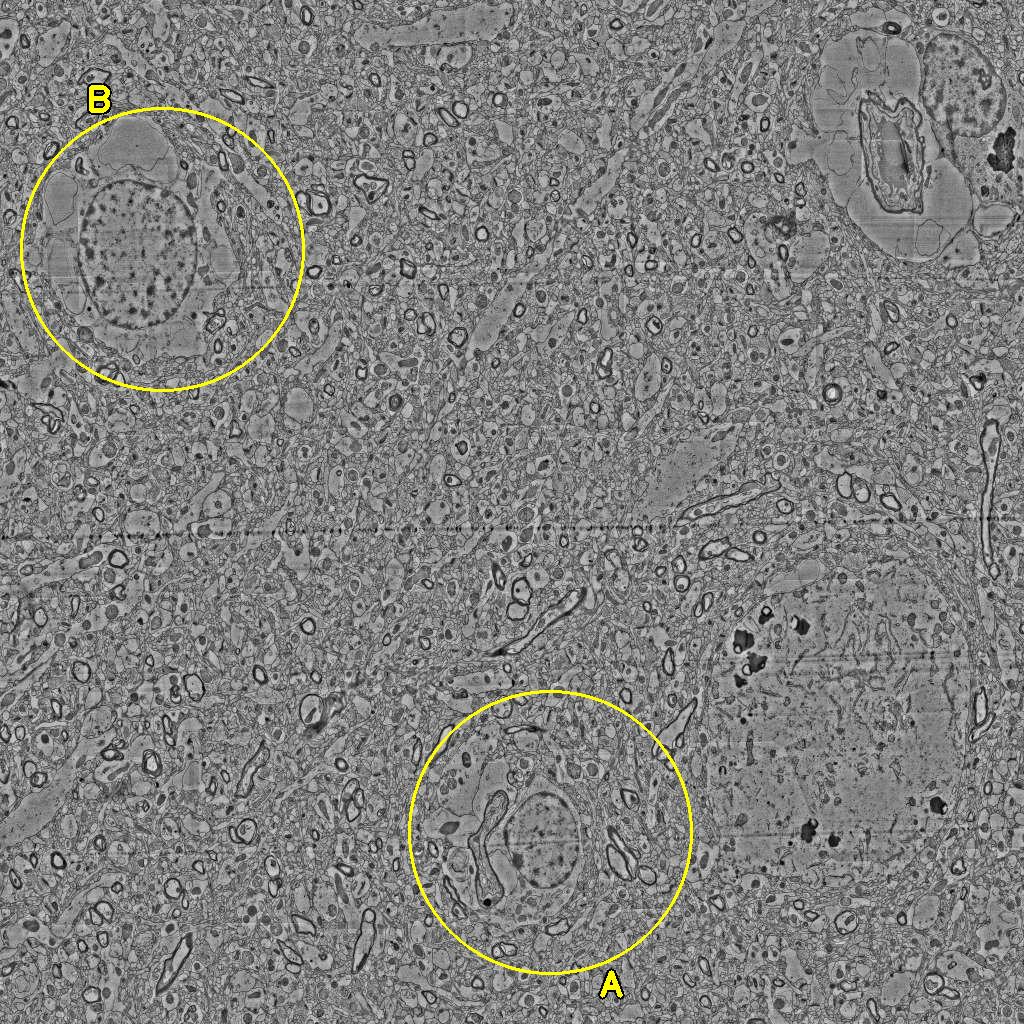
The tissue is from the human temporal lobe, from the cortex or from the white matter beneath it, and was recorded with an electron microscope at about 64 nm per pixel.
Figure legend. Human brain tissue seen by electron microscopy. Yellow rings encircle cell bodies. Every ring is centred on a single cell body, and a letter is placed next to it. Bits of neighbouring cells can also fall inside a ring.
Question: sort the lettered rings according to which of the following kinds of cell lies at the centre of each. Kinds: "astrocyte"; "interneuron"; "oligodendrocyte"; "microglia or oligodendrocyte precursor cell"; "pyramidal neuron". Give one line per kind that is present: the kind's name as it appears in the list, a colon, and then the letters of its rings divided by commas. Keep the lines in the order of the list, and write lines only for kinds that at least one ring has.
astrocyte: B
microglia or oligodendrocyte precursor cell: A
